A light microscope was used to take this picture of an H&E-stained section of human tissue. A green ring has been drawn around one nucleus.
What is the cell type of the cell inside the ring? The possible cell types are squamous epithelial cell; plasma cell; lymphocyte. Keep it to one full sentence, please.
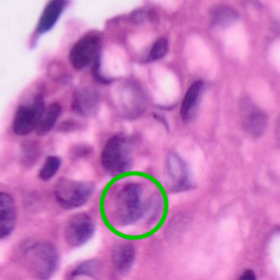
It is as a squamous epithelial cell that the cell inside the ring is recorded.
